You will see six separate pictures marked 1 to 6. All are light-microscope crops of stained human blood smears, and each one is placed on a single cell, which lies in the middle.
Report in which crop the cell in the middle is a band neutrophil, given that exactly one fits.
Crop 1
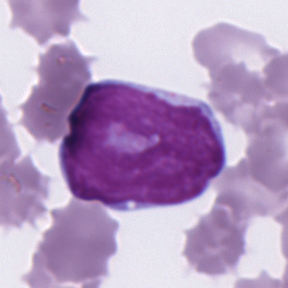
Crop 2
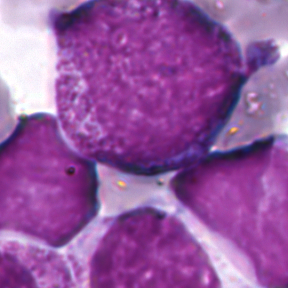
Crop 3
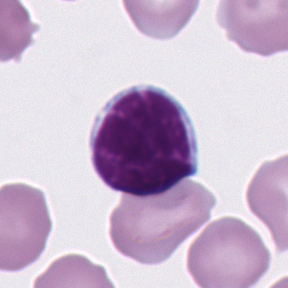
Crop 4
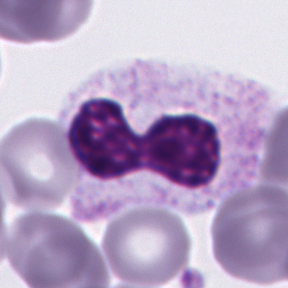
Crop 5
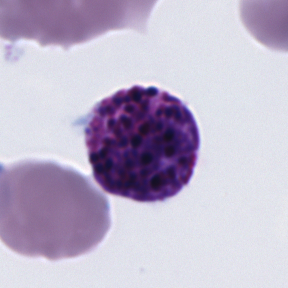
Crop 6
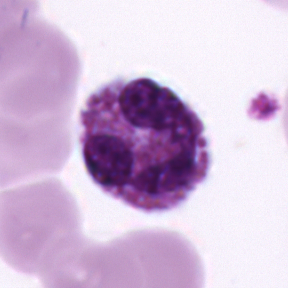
4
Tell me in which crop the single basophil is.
5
